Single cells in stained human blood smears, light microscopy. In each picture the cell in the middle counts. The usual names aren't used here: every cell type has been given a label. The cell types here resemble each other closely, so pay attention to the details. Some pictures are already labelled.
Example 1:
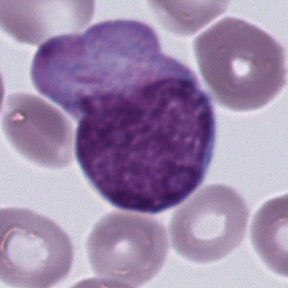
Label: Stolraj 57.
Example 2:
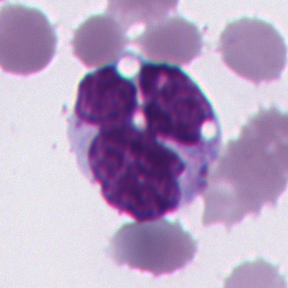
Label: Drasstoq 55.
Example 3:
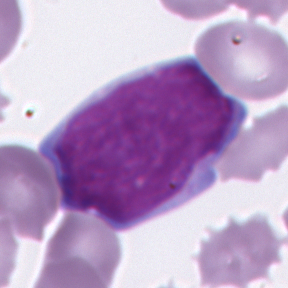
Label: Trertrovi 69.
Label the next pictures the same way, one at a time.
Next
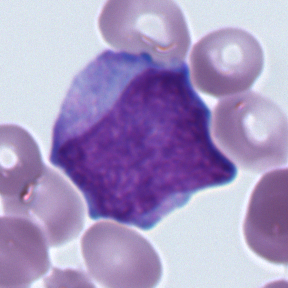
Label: Stolraj 57.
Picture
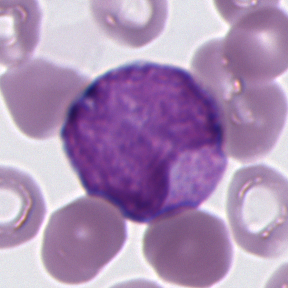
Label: Stolraj 57.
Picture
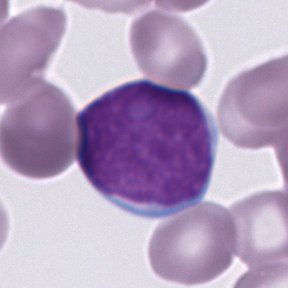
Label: Trertrovi 69.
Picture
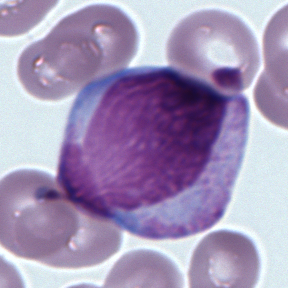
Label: Stolraj 57.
